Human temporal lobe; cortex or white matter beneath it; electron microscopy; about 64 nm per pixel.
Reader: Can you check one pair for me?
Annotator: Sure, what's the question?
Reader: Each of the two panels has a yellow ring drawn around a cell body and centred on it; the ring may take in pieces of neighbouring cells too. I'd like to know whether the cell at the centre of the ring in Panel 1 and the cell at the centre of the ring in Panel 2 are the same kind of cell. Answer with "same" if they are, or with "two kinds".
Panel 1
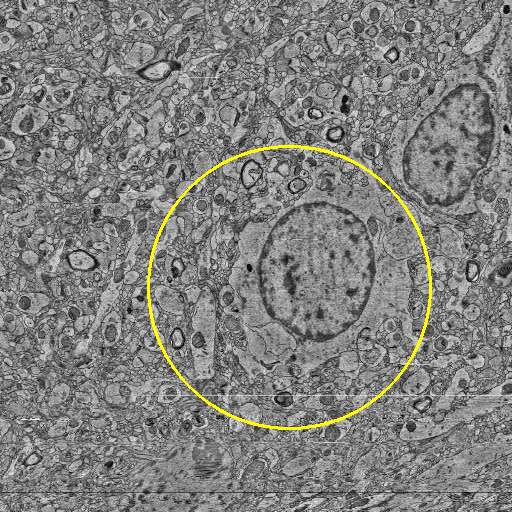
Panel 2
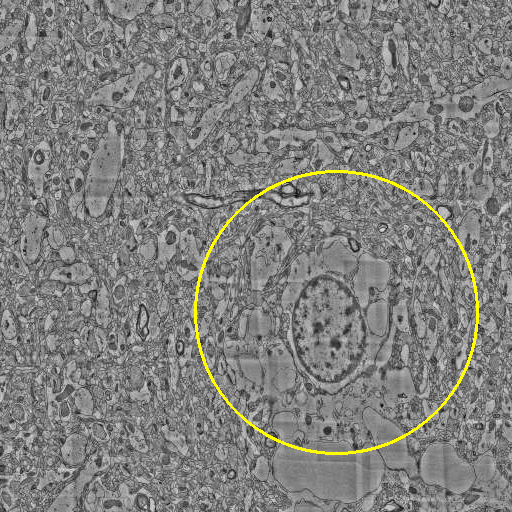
same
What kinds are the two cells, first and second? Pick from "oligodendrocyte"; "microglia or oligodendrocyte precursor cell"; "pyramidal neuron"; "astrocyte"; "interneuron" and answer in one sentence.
Both cells are the same kind, each one being an astrocyte.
